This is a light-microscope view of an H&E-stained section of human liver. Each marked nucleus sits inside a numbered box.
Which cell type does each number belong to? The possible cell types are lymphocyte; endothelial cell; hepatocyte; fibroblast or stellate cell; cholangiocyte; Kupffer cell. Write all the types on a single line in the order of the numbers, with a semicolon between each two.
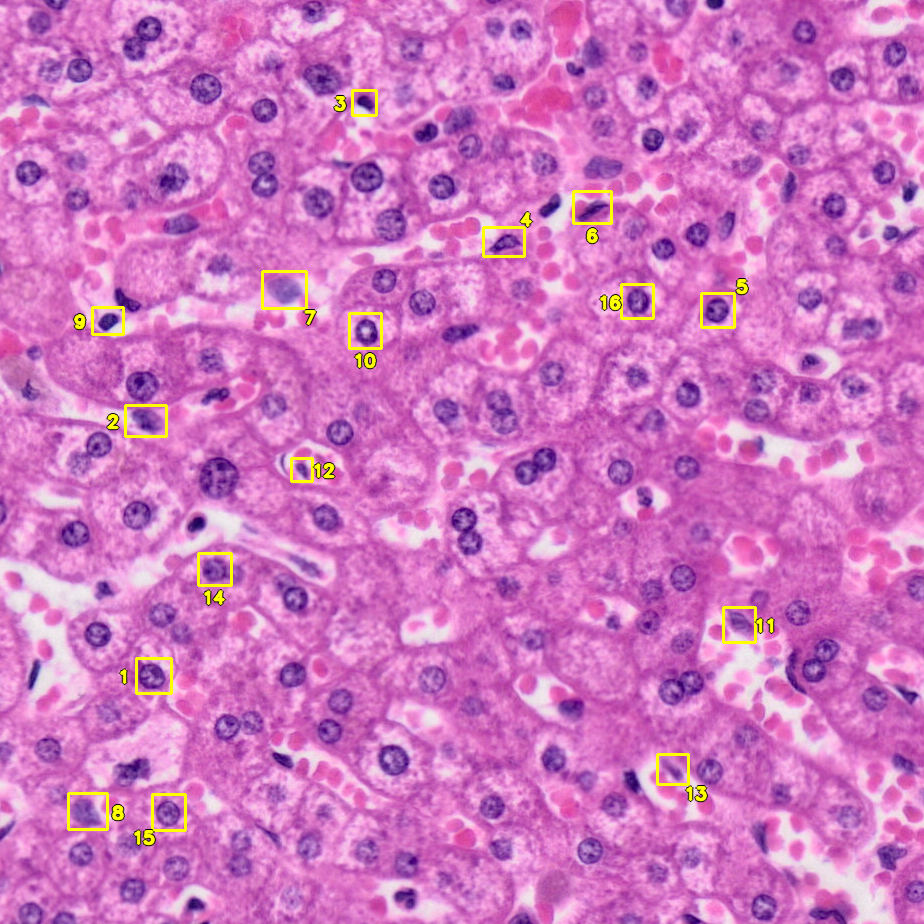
hepatocyte; endothelial cell; fibroblast or stellate cell; fibroblast or stellate cell; hepatocyte; endothelial cell; endothelial cell; endothelial cell; lymphocyte; hepatocyte; Kupffer cell; lymphocyte; Kupffer cell; hepatocyte; hepatocyte; hepatocyte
